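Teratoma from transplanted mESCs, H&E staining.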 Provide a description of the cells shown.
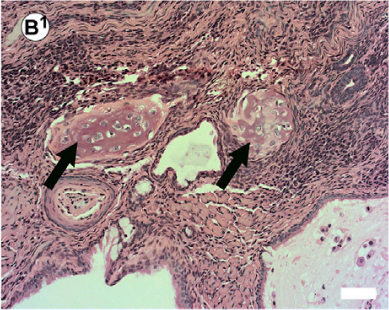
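Two oval islands of pale pink-lilac glassy matrix lie within a cellular stroma of spindle-shaped cells and scattered dark round nuclei, with a small cleft-like lumen between them. Inside the islands single cells sit in clear rounded spaces.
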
